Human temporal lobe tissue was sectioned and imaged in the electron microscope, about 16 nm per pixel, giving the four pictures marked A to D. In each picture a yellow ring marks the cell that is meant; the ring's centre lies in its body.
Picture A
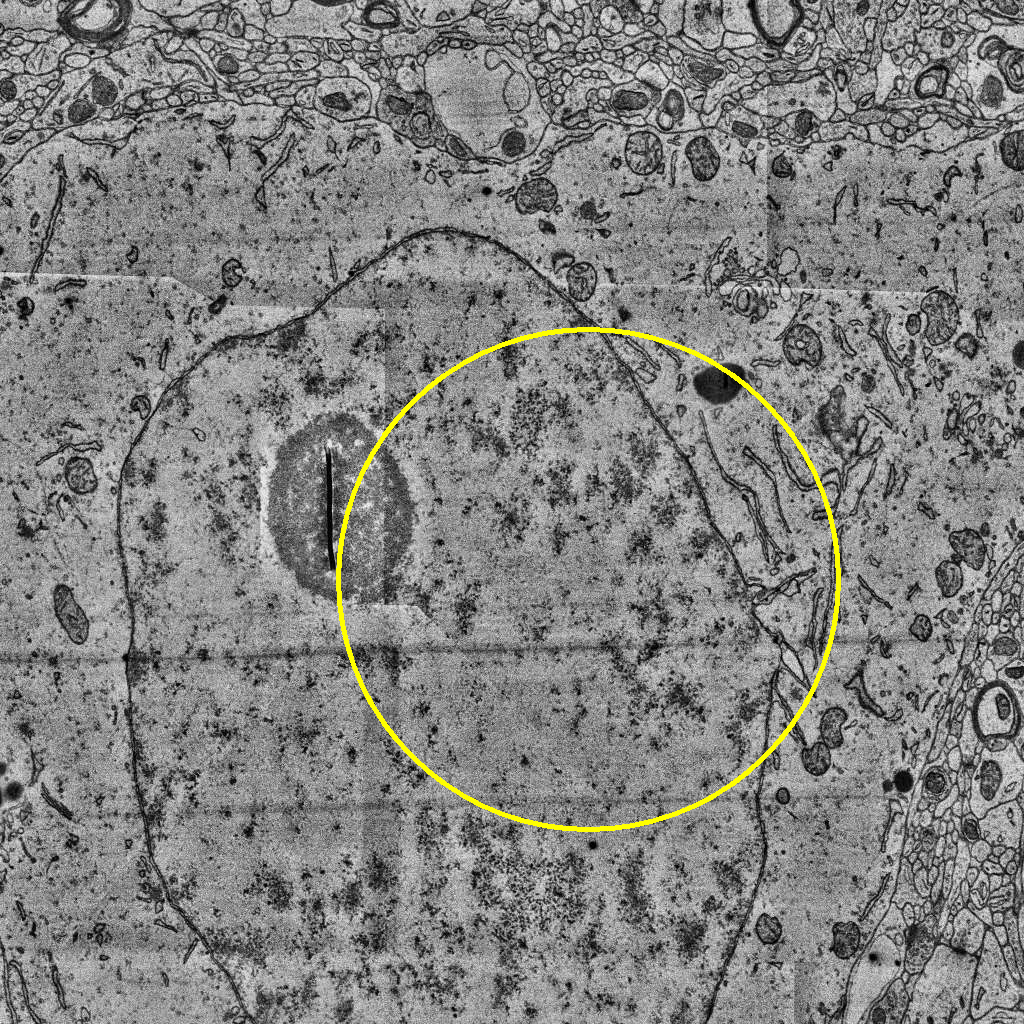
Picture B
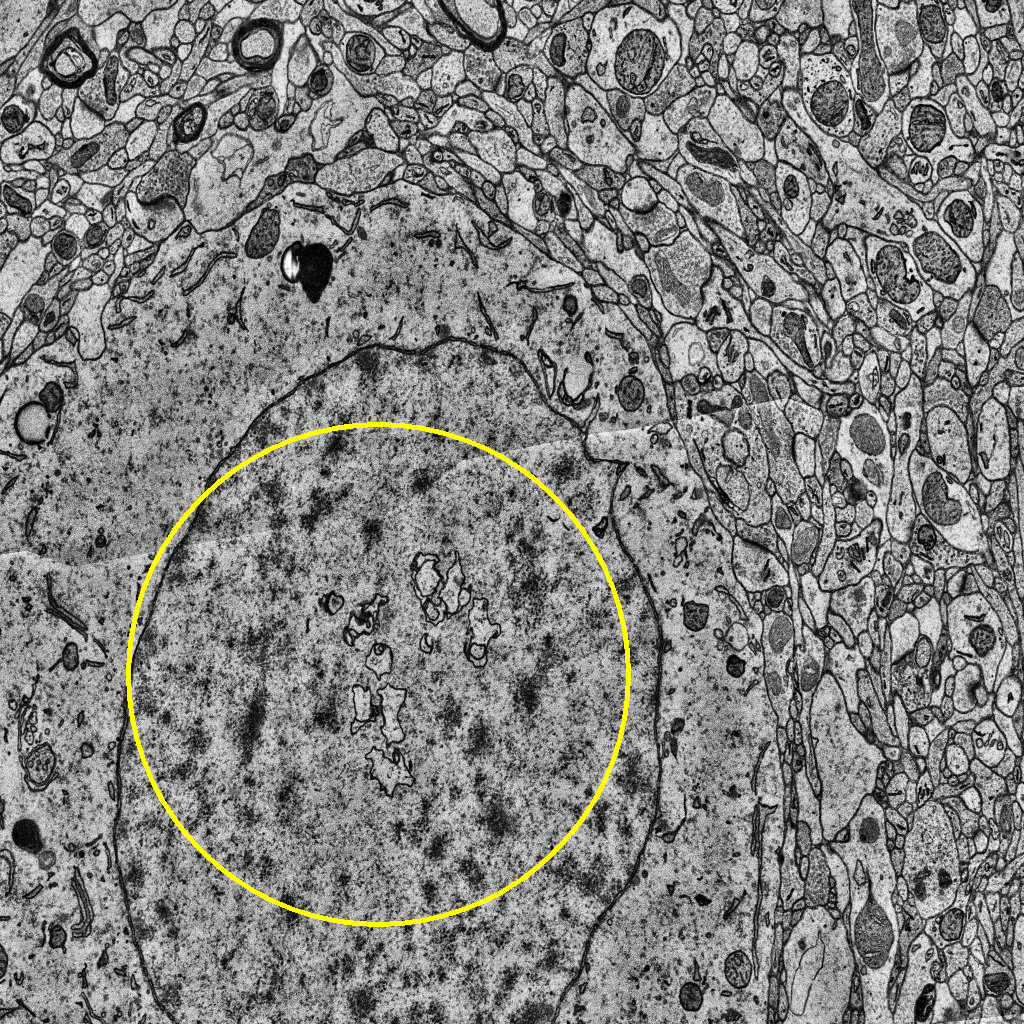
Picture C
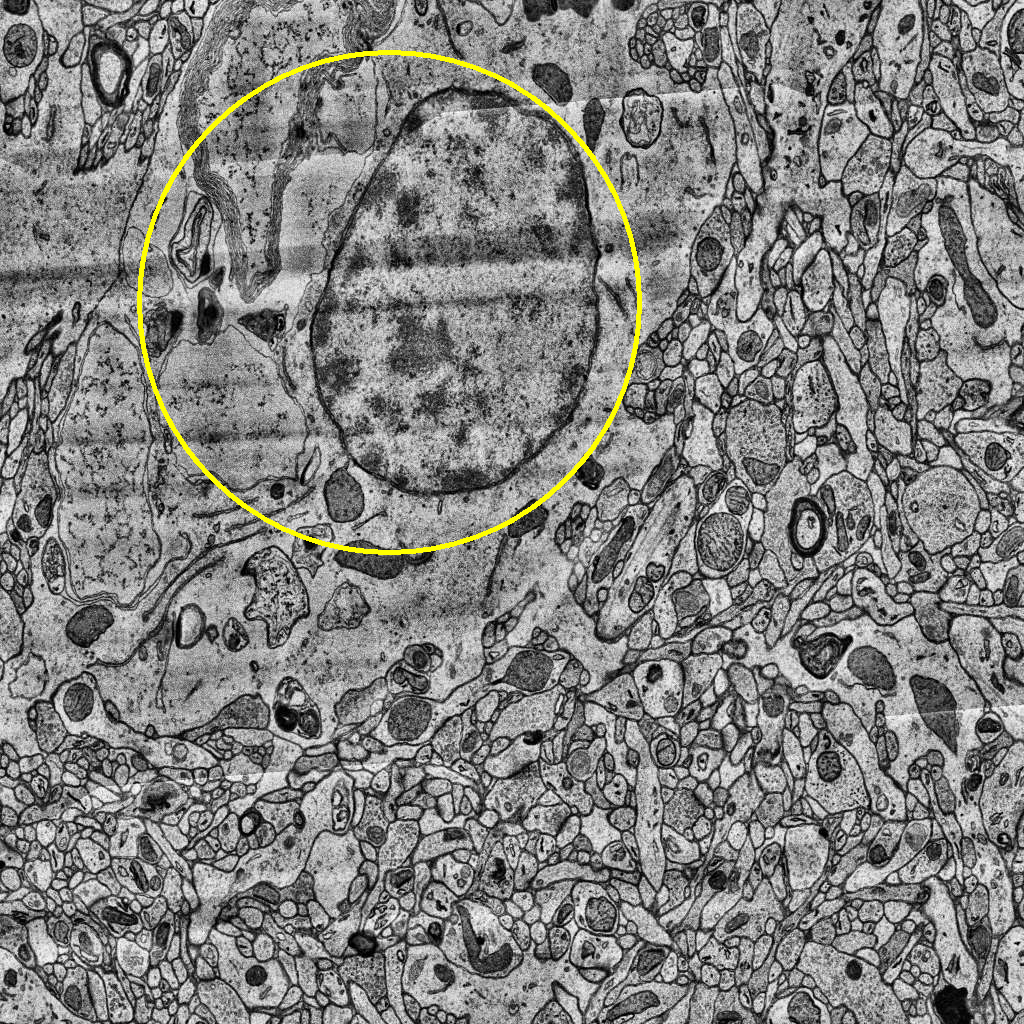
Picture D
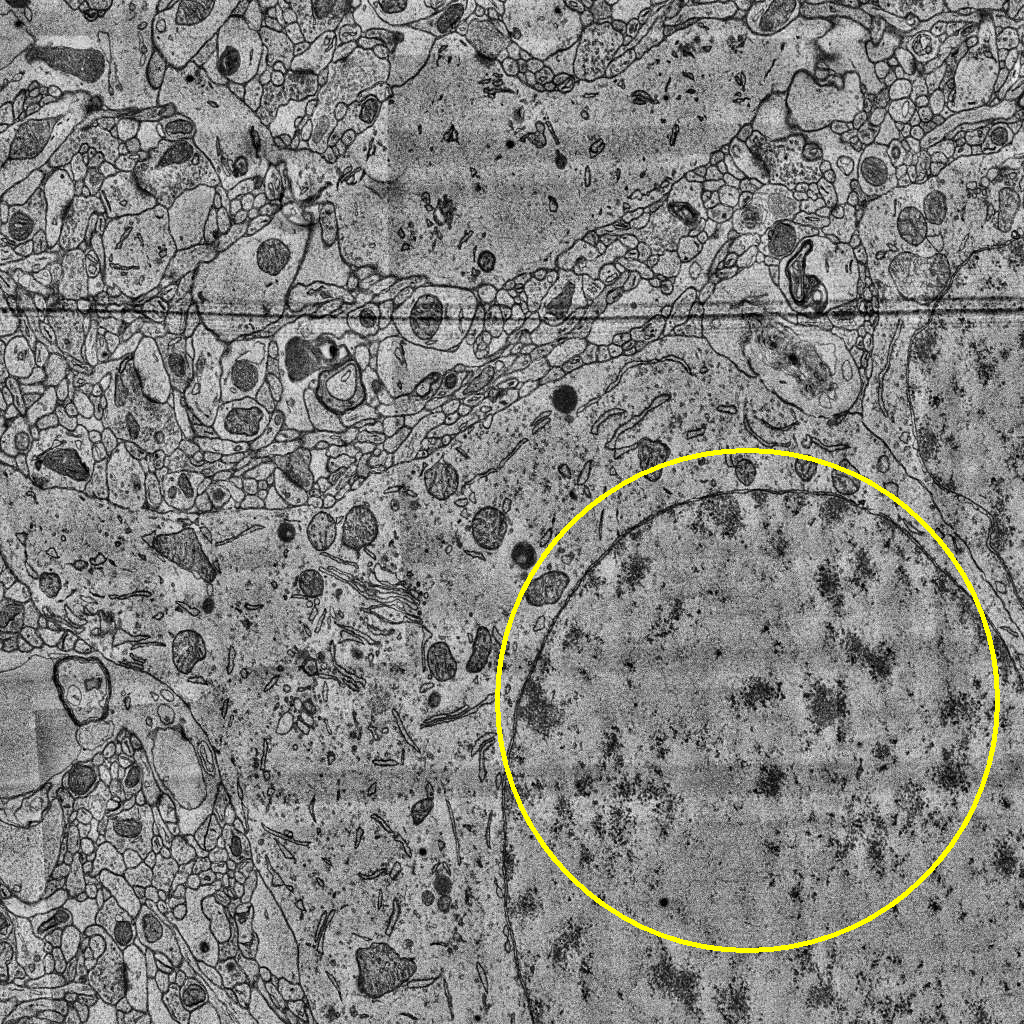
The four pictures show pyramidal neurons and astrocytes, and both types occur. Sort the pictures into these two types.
Pictures A, B and D show pyramidal neurons; picture C shows an astrocyte.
